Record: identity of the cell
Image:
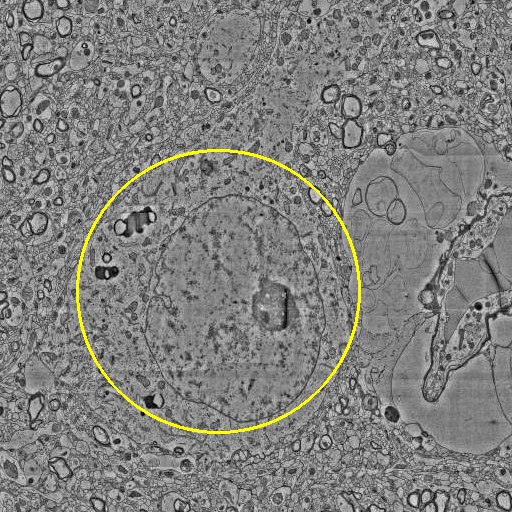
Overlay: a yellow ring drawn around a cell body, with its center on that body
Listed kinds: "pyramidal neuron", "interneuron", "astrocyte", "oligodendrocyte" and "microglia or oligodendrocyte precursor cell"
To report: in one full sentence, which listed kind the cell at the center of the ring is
In the image, the cell body at the ring's center belongs to a pyramidal neuron.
